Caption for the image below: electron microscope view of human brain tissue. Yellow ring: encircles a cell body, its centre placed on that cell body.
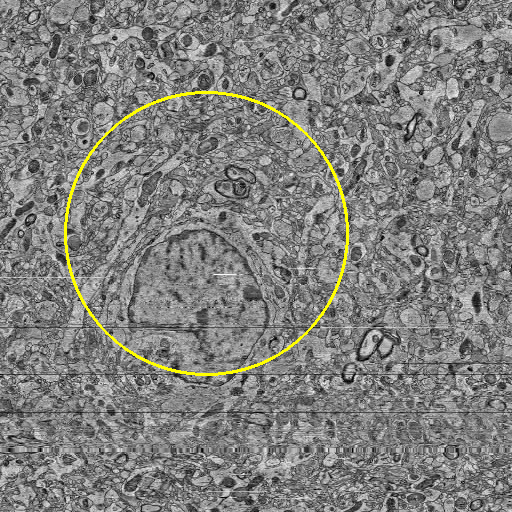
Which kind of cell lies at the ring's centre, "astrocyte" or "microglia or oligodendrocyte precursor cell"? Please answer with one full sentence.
The picture shows a microglial cell or oligodendrocyte precursor cell at the centre of the yellow ring.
